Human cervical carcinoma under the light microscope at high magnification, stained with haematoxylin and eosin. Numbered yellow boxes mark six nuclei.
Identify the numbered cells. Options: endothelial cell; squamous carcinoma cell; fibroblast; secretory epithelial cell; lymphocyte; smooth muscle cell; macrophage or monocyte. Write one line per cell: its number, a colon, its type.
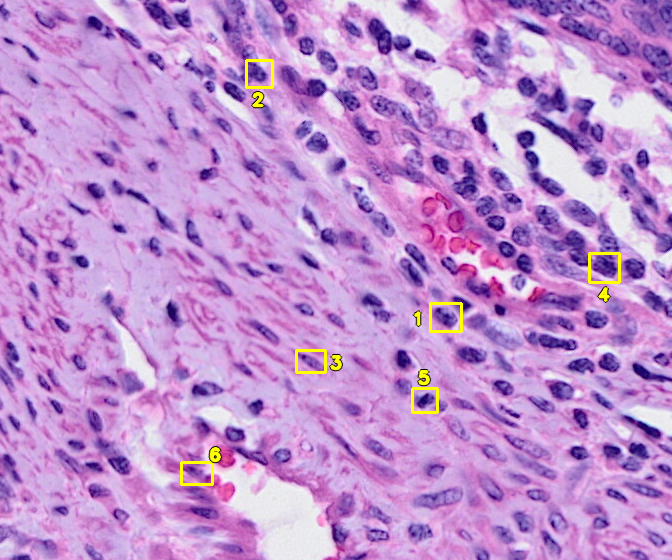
1: lymphocyte
2: lymphocyte
3: smooth muscle cell
4: lymphocyte
5: lymphocyte
6: endothelial cell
